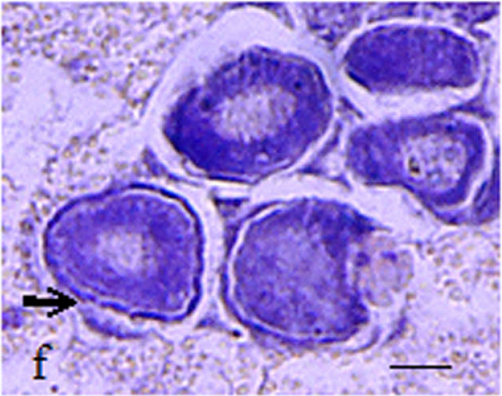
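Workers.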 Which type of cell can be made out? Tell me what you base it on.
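Oocyte. Several large rounded cells lie packed together. Each is enclosed by a thin rim.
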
